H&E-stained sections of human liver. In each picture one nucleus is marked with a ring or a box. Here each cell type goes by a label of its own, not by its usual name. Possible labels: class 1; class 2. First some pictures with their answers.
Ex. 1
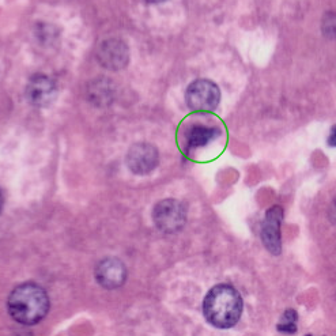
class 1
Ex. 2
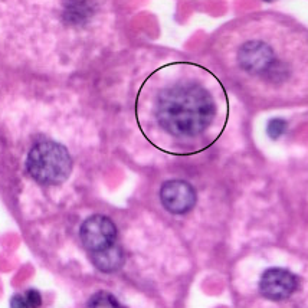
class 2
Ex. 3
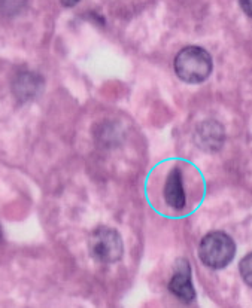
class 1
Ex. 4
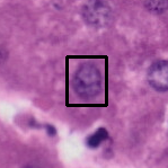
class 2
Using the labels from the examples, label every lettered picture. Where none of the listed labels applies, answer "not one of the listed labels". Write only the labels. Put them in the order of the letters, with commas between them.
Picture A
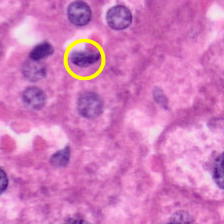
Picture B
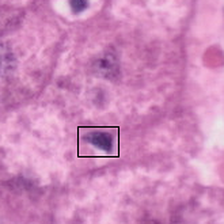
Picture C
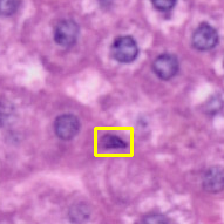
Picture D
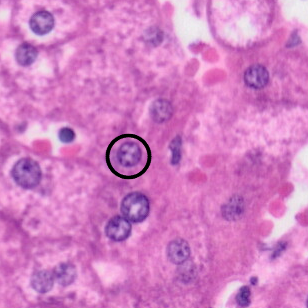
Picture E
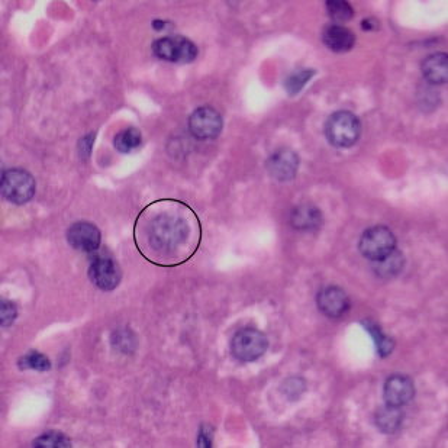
not one of the listed labels, not one of the listed labels, class 1, class 2, class 2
